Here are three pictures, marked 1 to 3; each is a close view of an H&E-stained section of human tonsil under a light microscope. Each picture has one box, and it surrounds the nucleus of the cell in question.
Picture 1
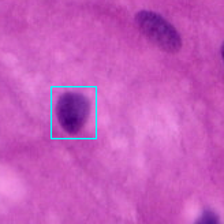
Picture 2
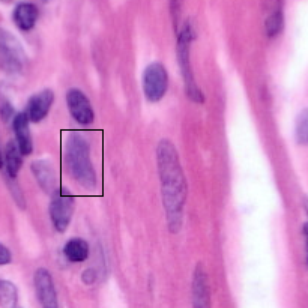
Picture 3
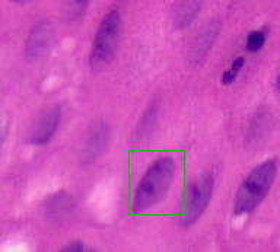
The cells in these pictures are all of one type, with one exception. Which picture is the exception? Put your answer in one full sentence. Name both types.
The different one is picture 2; it shows an endothelial cell, whereas all the others show squamous epithelial cells.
